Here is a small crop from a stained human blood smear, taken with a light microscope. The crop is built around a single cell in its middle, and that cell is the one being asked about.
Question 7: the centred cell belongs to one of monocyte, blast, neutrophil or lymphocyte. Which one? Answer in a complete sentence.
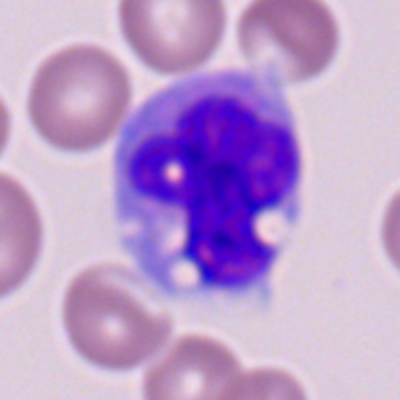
The crop's centre is taken up by a monocyte.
